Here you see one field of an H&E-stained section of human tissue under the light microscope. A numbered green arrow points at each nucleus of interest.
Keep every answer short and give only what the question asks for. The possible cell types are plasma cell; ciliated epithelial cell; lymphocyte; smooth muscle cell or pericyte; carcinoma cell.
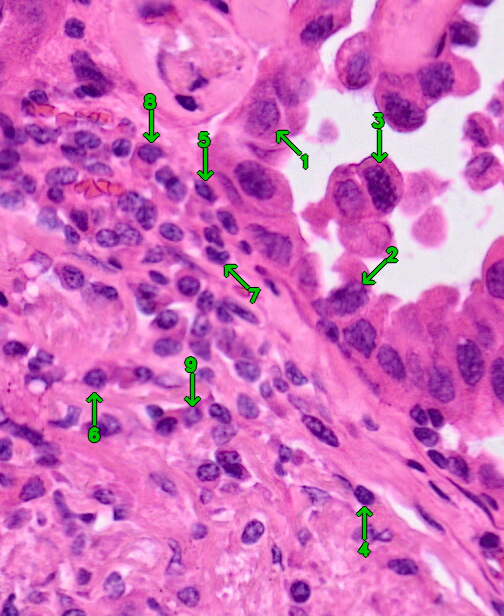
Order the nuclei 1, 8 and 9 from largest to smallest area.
1, 8, 9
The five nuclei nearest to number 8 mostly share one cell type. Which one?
lymphocyte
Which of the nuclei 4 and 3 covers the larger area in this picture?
3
